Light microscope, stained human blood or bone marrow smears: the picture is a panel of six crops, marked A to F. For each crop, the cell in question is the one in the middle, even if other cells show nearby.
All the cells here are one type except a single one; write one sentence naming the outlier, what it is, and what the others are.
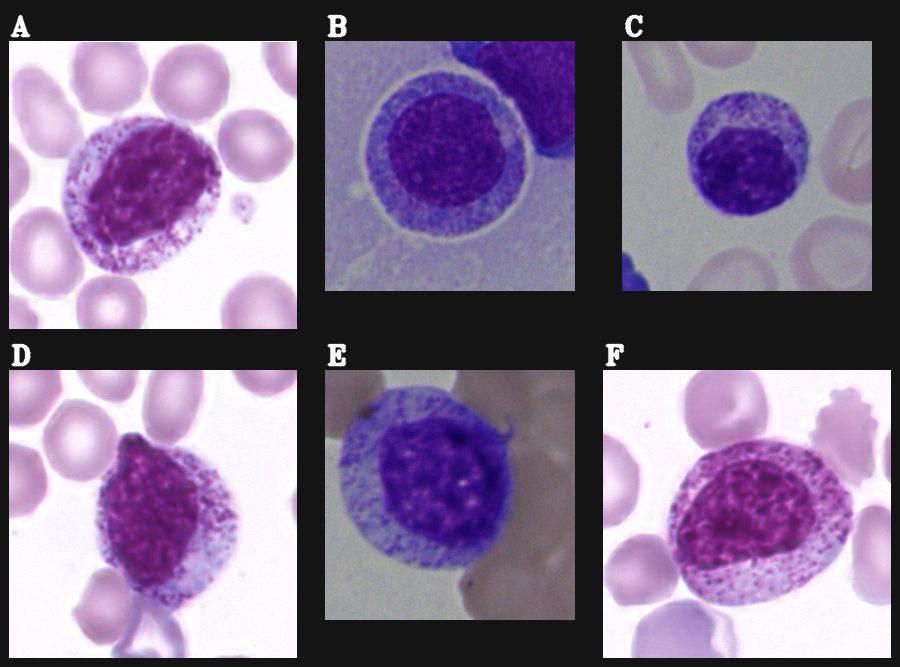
All of the other crops show myelocytes, while crop A shows a metamyelocyte instead.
